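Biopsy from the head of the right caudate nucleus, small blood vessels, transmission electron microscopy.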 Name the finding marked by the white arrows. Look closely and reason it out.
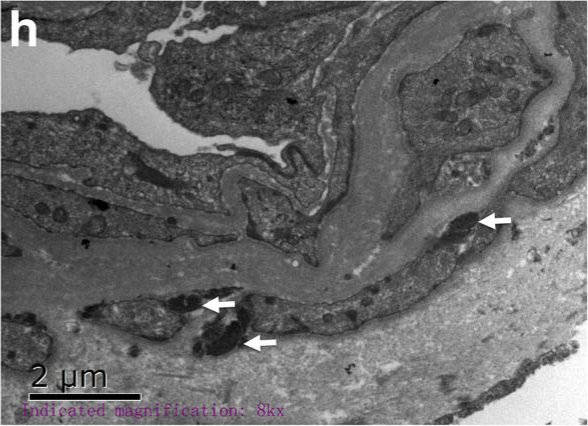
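The arrows point to small electron-dense, very dark granular clumps. The clumps lie along the outer side of a thick grey wall band beneath a vessel lumen.
Conclusion: granular osmiophilic material depositions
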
